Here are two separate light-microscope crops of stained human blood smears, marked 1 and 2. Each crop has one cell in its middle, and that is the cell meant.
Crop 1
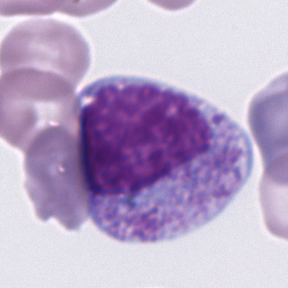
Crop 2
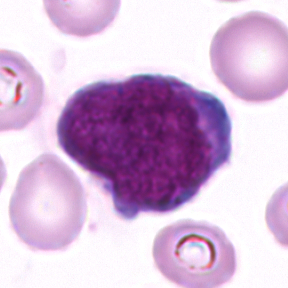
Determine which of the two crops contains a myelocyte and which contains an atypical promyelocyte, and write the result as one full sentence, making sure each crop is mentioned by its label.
The middle cell in crop 1 is a myelocyte; the middle cell in crop 2 is an atypical promyelocyte.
